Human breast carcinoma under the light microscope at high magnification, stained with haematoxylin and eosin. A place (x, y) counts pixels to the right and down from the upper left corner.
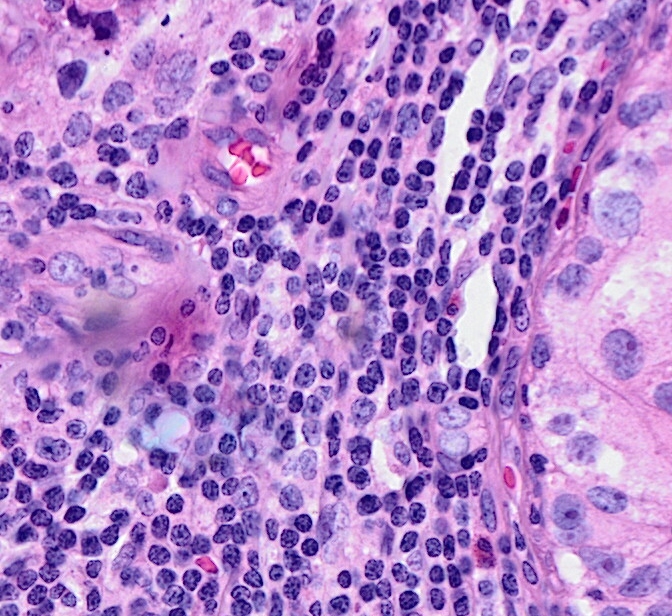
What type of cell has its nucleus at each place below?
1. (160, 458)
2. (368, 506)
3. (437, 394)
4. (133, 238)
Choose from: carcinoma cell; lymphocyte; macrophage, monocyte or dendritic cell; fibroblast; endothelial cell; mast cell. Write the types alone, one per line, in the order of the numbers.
lymphocyte
lymphocyte
lymphocyte
endothelial cell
